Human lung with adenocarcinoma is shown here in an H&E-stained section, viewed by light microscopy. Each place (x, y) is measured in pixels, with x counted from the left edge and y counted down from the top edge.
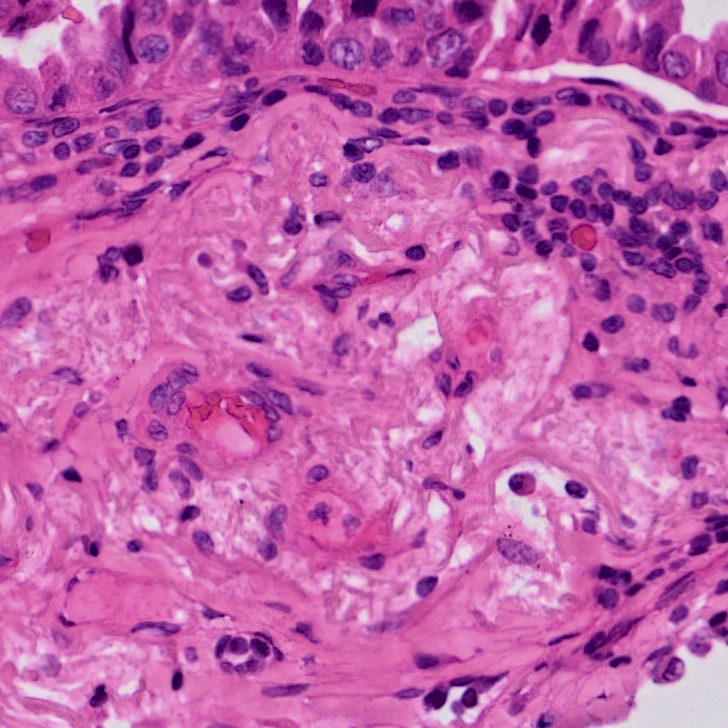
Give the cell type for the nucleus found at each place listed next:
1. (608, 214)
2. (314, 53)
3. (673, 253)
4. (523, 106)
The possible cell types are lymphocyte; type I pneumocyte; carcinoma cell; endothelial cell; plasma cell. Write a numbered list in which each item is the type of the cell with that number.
1. lymphocyte
2. carcinoma cell
3. lymphocyte
4. lymphocyte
